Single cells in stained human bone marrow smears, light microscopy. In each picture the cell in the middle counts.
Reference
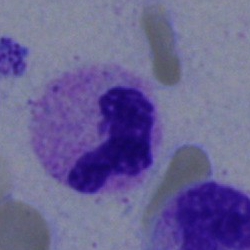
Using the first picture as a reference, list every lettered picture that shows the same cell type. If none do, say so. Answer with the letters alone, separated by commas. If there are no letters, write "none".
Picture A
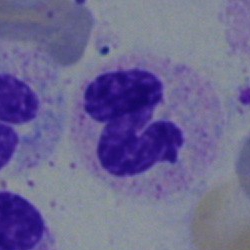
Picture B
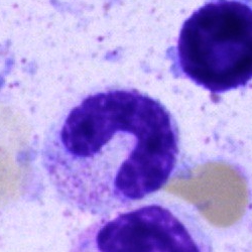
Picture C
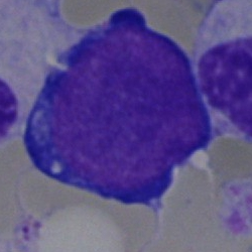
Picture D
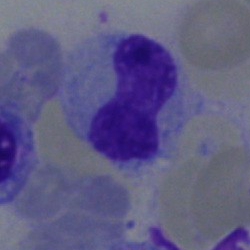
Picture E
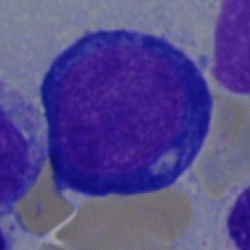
none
